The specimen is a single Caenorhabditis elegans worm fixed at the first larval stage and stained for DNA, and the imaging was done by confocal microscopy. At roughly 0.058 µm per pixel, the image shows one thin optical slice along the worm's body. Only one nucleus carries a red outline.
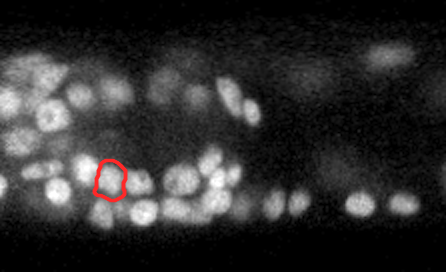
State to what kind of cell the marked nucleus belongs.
neuron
